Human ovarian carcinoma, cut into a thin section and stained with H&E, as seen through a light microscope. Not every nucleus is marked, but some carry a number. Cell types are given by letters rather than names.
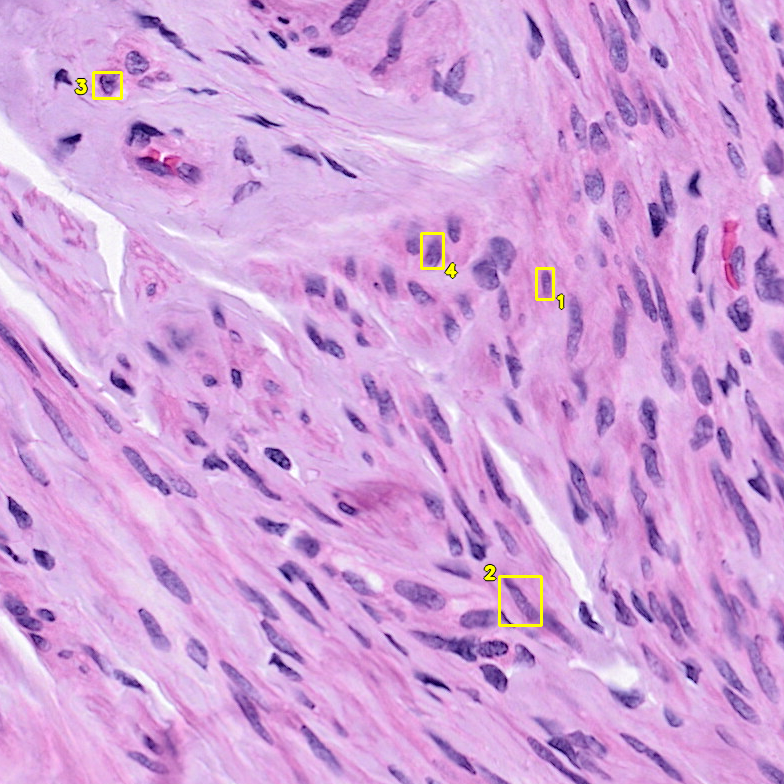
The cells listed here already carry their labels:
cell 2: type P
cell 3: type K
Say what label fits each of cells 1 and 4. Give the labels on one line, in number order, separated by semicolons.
type P; type P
